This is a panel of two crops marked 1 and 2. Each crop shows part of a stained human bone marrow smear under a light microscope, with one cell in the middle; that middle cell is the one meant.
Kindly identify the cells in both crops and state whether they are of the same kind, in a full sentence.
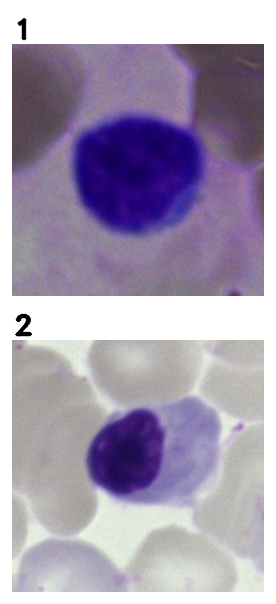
No, crop 1 captures a lymphocyte; meanwhile crop 2 captures an erythroblast.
